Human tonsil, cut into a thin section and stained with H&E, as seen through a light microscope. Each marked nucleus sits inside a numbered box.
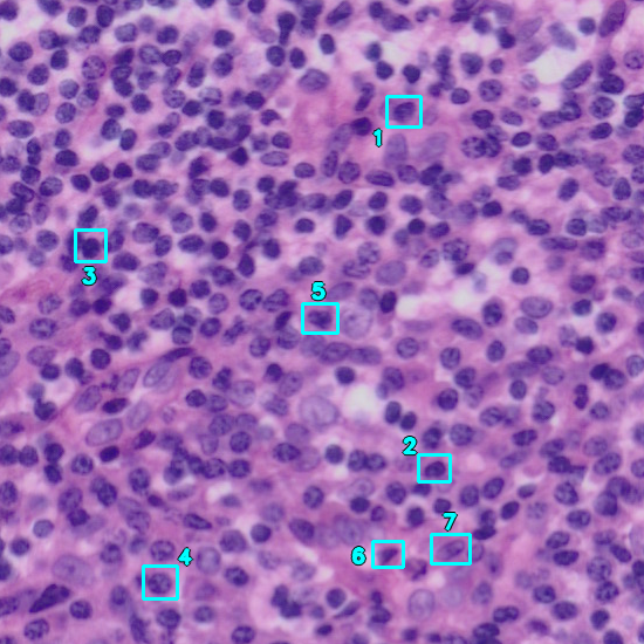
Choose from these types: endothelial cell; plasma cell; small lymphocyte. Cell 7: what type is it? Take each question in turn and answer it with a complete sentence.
To an endothelial cell belongs the nucleus marked 7.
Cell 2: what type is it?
Cell 2, as marked in the section, is a plasma cell.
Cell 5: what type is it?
Nucleus 5 in this section belongs to a plasma cell.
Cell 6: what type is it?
In the marked set, the cell given number 6 is an endothelial cell.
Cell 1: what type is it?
The cell that carries the label 1 is an endothelial cell.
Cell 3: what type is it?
Nucleus 3 in this section belongs to a small lymphocyte.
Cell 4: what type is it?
The cell assigned the number 4 is a plasma cell.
